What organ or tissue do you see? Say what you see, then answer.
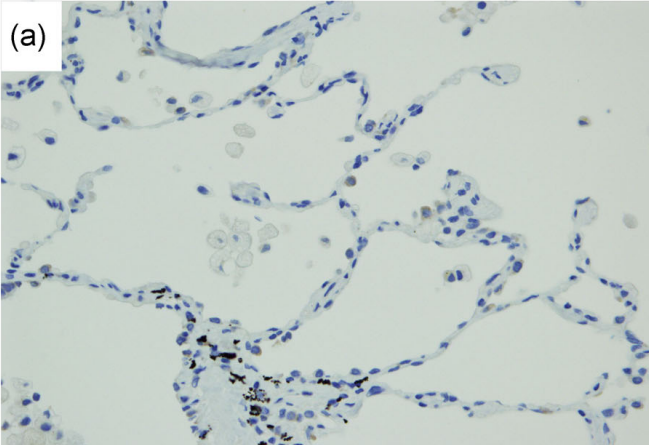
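Thin delicate septa outline wide empty air spaces. Septa carry small flattened blue nuclei. Black granular pigment lies in one thicker septum. Almost no brown stain in the septal cells. That points to this answer: Normal lung parenchyma.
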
